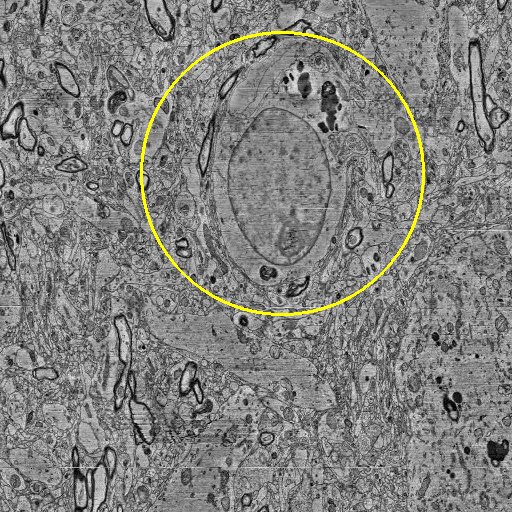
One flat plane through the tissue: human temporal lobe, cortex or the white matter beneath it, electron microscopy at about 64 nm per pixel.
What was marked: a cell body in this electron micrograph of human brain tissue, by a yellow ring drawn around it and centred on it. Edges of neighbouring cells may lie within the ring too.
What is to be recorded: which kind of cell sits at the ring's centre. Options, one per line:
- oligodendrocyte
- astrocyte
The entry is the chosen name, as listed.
astrocyte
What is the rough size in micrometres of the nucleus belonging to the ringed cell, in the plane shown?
In this plane the nucleus is clearly longer than it is wide: roughly 10 by 7 micrometres.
